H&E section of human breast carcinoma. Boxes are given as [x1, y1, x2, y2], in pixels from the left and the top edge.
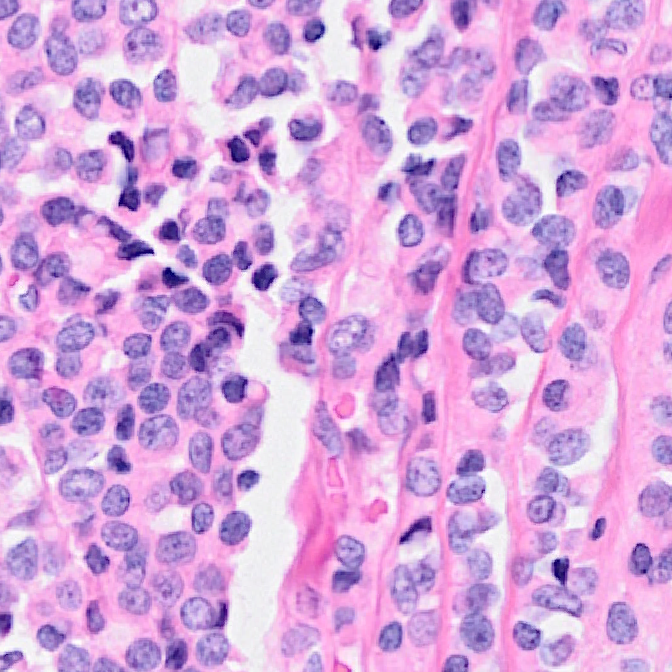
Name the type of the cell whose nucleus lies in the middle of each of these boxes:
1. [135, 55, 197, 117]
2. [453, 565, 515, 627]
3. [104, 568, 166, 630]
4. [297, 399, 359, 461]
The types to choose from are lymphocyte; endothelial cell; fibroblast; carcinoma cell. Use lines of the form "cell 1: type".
cell 1: carcinoma cell
cell 2: carcinoma cell
cell 3: carcinoma cell
cell 4: endothelial cell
